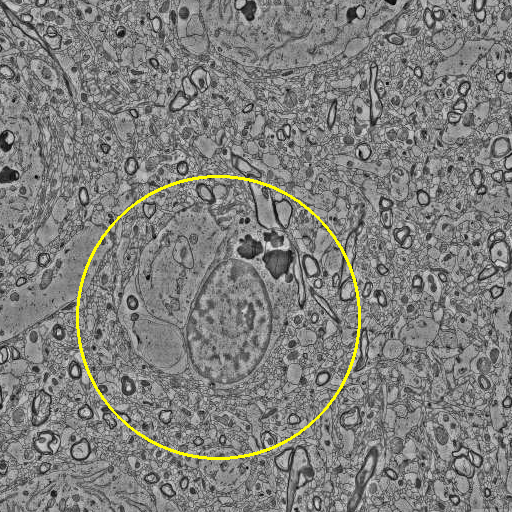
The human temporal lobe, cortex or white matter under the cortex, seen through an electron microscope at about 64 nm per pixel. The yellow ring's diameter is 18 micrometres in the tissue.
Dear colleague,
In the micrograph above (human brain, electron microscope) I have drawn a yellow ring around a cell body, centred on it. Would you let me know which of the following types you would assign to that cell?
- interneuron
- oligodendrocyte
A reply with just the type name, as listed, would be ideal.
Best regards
oligodendrocyte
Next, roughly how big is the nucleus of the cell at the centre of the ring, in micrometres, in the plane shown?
In this plane the nucleus measures roughly 8 by 5 micrometers.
